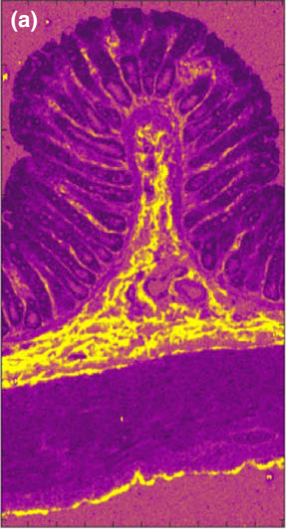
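A cross section of colon wall is shown with a fold of mucosa whose crypts fan out like radiating tubes, mostly dark purple. Between the crypts the lamina propria shows as thin yellow strands that converge into a central yellow core of the fold. Beneath the crypt bases a broad, bright yellow, irregular band of submucosa spreads across the section. Below it lies a thick, fairly uniform purple layer, and along its outer lower edge a thin bright yellow line marks the serosa. The background outside the tissue is a mottled orange-purple.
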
